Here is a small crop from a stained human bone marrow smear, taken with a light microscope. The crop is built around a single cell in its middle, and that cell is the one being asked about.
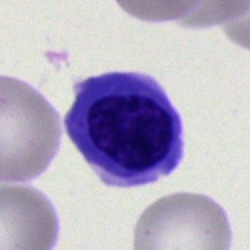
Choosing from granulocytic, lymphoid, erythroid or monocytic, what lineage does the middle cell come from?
erythroid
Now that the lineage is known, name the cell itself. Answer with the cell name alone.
erythroblast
